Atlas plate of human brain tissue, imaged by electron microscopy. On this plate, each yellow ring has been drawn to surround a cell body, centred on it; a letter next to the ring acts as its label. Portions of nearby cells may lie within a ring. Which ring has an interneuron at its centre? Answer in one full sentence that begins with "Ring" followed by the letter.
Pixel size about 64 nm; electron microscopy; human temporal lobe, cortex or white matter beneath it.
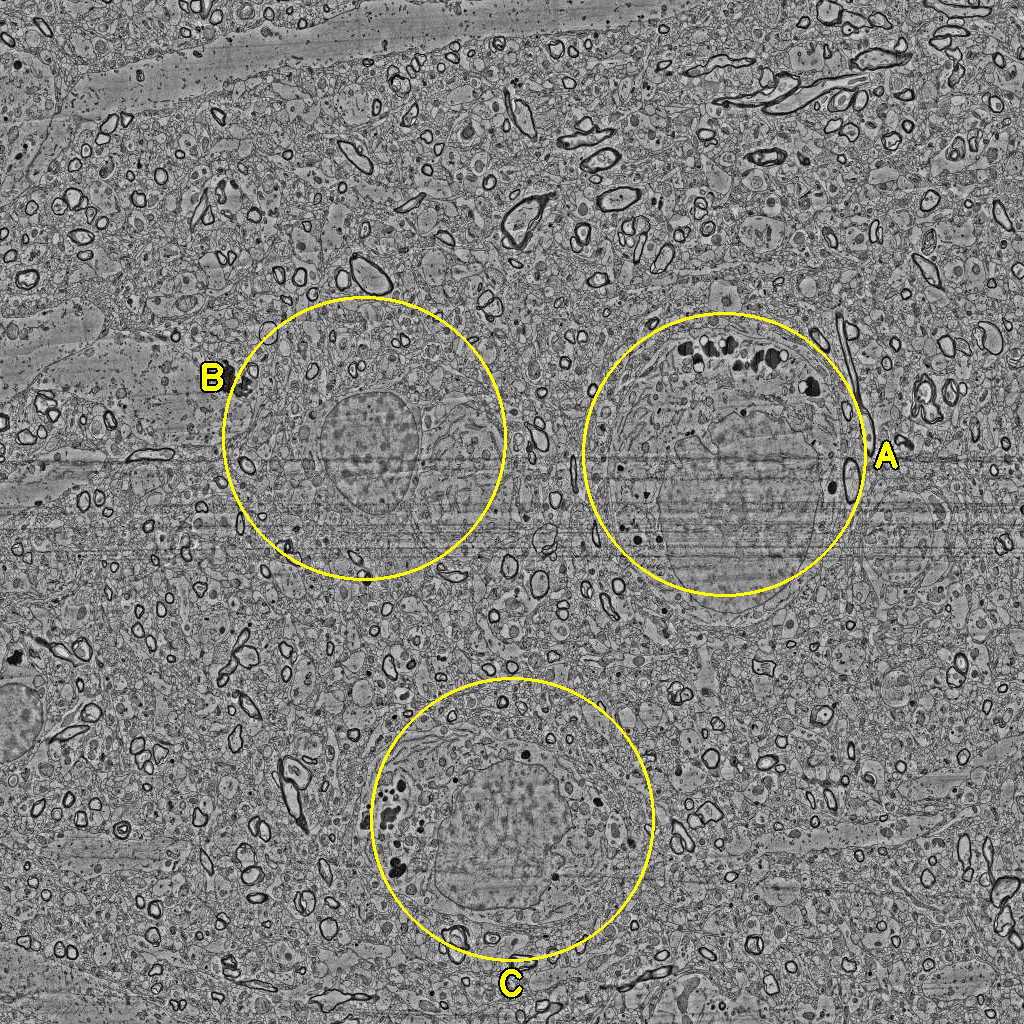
Ring C is drawn around the requested cell, which lies at its centre in the picture.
